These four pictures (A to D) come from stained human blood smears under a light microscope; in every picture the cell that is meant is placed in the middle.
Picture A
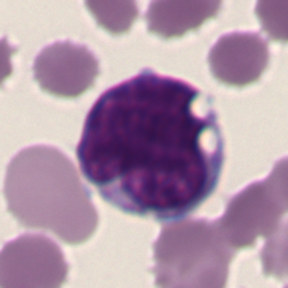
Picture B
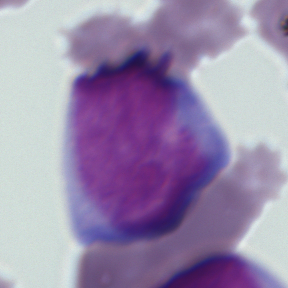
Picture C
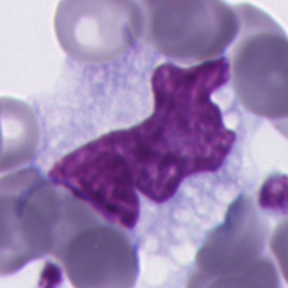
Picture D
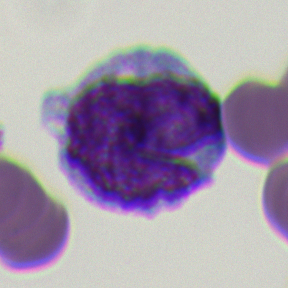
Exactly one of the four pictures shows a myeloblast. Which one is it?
B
